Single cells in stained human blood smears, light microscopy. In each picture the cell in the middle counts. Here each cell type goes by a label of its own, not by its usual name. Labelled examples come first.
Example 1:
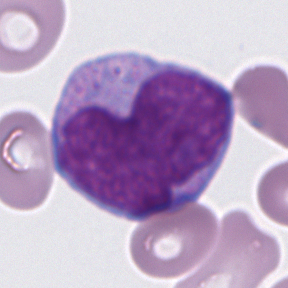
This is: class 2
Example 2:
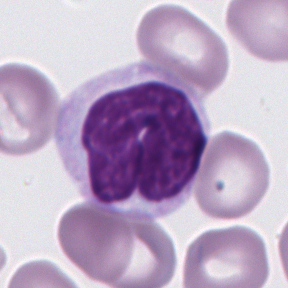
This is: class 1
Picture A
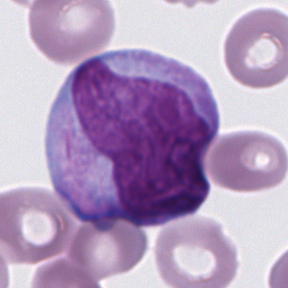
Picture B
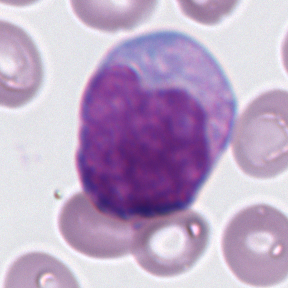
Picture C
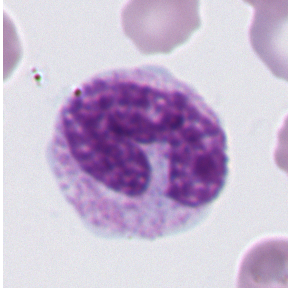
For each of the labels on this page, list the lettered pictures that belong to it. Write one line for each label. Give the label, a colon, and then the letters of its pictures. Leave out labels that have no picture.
class 2: A, B
class 1: C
